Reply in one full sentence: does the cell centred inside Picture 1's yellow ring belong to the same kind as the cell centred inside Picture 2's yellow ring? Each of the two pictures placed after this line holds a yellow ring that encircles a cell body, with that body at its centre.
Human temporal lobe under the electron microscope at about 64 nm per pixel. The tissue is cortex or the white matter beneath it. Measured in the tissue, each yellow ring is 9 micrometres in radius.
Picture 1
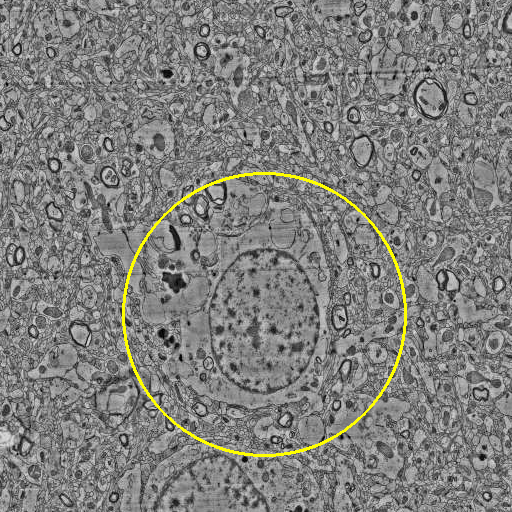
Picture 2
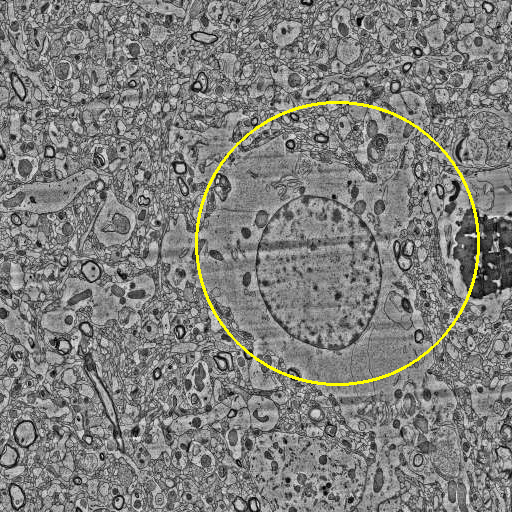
Yes, the ring-centred cells in Picture 1 and Picture 2 are of one and the same kind.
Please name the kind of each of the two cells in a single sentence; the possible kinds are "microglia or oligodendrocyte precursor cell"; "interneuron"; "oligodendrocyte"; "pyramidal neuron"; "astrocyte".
Both pictures show an astrocyte at the centre of the ring.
